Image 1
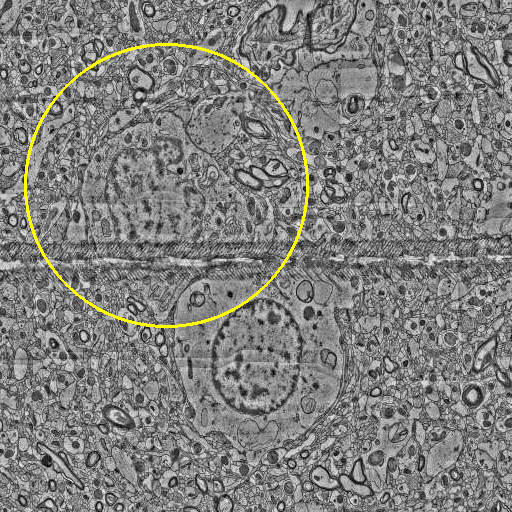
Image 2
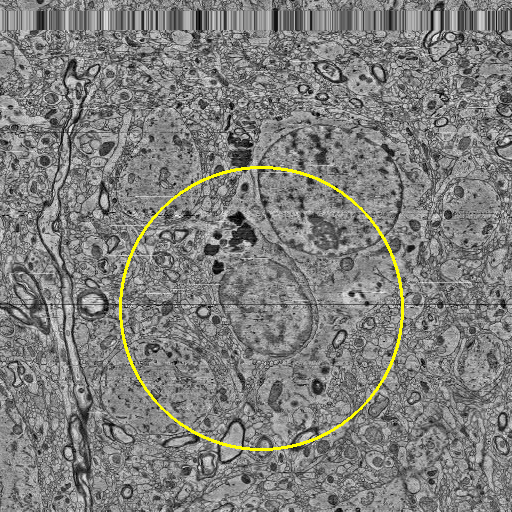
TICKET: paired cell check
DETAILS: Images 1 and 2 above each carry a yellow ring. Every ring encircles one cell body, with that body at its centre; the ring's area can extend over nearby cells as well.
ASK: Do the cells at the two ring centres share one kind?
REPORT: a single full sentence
No, the ring-centre cells of Images 1 and 2 belong to two kinds.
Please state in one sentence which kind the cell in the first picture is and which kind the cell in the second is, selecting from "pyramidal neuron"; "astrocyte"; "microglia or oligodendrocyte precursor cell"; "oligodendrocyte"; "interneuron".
The first ringed cell is an interneuron, the second ringed cell an oligodendrocyte.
